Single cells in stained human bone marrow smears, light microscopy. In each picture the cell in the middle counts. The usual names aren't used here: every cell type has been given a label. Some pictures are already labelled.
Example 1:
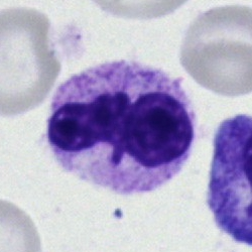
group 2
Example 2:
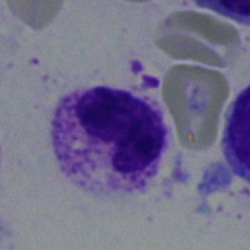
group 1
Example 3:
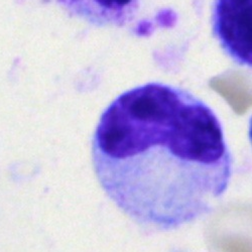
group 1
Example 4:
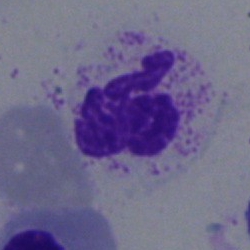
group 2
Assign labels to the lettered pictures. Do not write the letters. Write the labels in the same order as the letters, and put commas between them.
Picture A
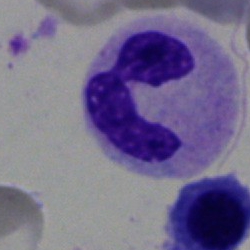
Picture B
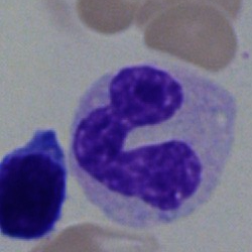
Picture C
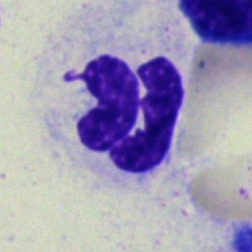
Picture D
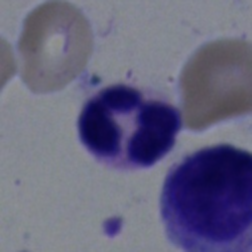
group 2, group 1, group 2, group 2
